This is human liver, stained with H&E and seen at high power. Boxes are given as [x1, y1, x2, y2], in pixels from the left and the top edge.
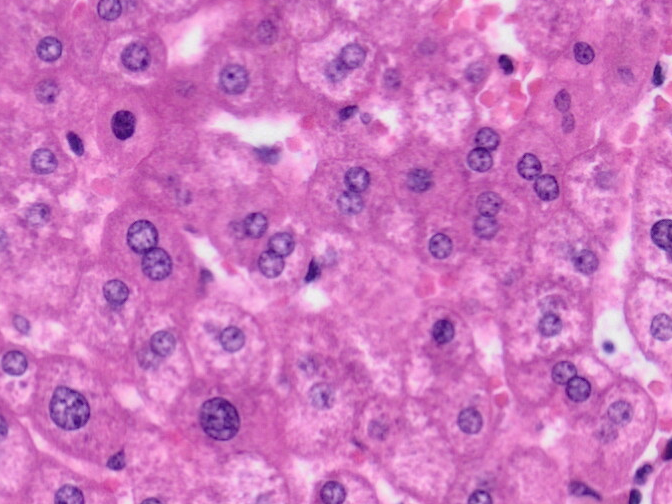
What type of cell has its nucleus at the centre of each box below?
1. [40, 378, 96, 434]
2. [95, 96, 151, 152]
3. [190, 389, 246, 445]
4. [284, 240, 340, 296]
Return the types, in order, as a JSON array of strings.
["hepatocyte", "hepatocyte", "hepatocyte", "fibroblast or stellate cell"]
